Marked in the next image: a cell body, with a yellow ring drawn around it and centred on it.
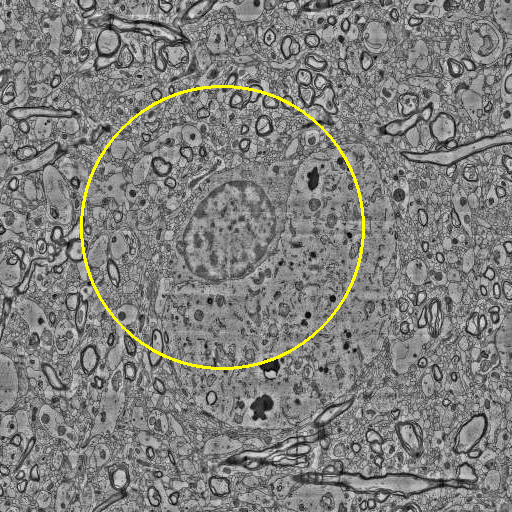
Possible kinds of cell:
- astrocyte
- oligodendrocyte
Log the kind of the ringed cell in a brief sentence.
The ringed cell body is that of an oligodendrocyte.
